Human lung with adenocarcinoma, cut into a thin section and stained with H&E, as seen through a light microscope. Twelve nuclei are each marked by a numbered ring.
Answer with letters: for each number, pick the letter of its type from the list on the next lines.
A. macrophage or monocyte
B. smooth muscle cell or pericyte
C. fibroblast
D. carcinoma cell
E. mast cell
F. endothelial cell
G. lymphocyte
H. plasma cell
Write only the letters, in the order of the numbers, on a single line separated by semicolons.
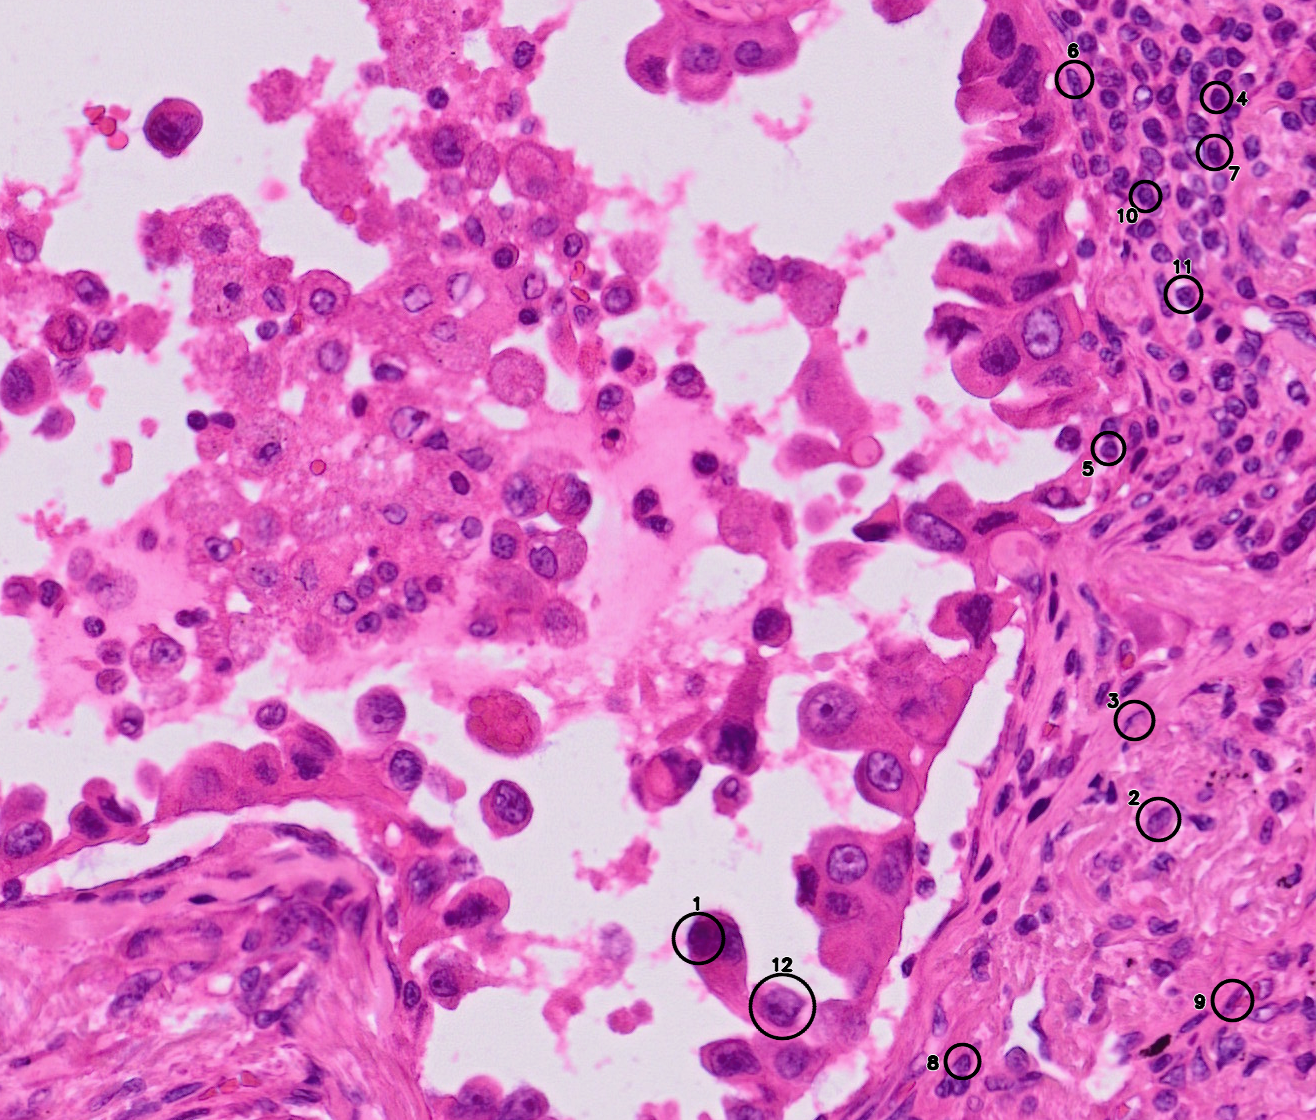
D; H; C; G; G; G; G; G; F; G; G; D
